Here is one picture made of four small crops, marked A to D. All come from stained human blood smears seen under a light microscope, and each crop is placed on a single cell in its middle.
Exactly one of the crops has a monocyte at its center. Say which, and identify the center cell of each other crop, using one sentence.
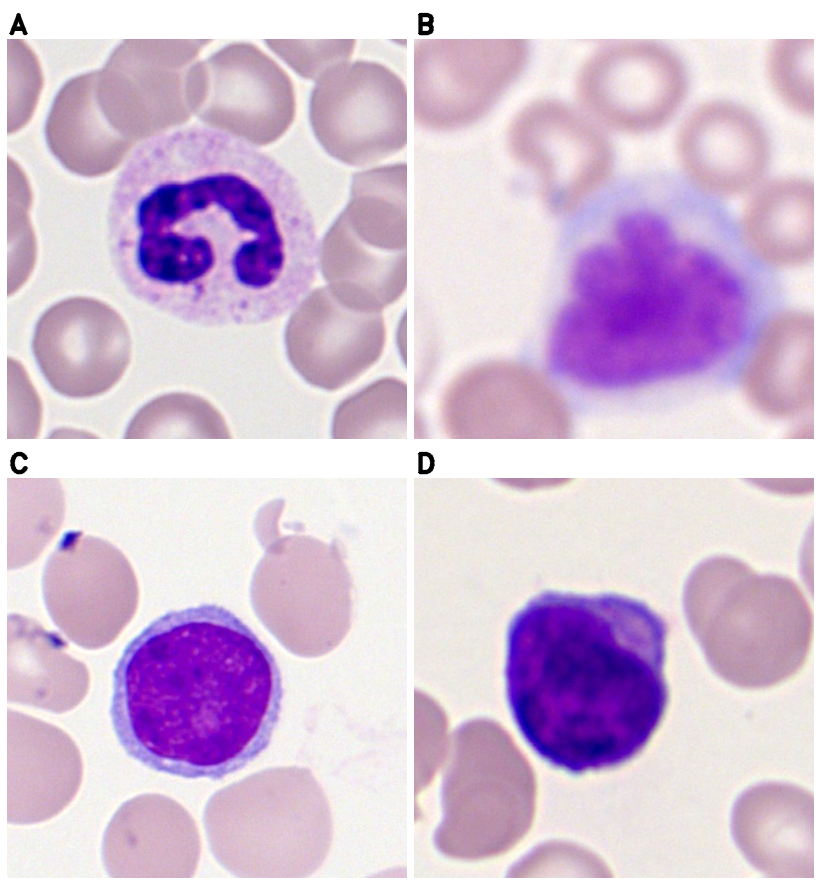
Regarding crop B, it shows a monocyte, while crop A is a segmented neutrophil, crop C is a lymphocyte and crop D is a myeloblast.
